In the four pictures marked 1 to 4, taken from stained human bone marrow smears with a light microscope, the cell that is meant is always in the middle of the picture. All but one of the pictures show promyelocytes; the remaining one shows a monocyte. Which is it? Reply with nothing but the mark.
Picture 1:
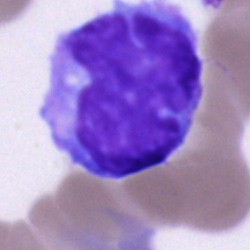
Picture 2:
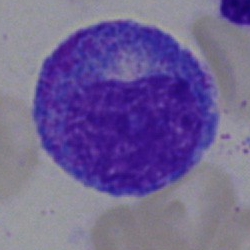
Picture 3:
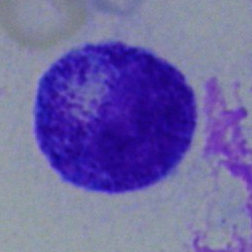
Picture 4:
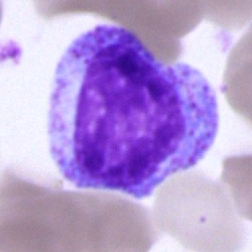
1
